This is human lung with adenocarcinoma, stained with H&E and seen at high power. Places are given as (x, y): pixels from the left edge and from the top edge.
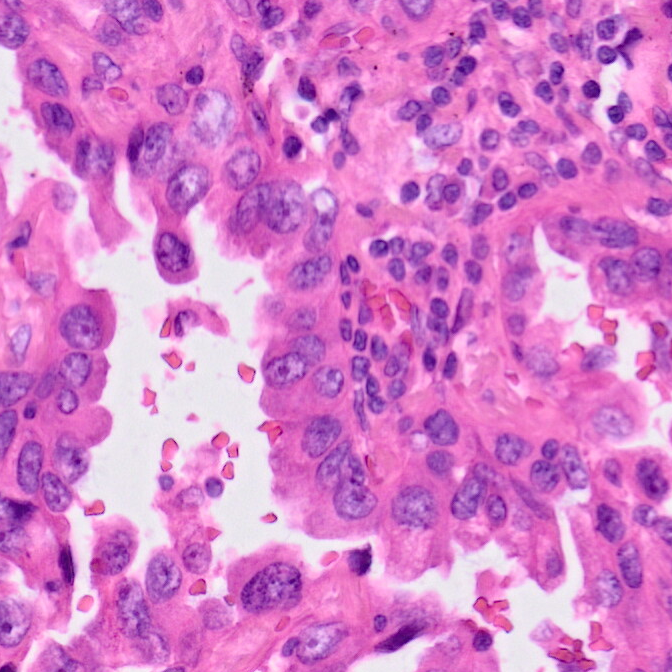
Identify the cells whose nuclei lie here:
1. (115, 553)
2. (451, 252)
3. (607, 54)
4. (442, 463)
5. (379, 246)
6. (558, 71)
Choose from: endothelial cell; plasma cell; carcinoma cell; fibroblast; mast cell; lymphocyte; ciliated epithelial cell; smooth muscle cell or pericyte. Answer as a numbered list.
1. carcinoma cell
2. lymphocyte
3. lymphocyte
4. carcinoma cell
5. lymphocyte
6. lymphocyte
